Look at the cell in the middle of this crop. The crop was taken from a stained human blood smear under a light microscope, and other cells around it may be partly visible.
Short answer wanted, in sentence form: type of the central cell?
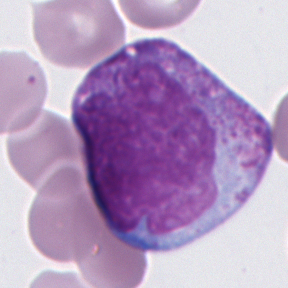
The cell positioned in the middle of the field is an atypical promyelocyte.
